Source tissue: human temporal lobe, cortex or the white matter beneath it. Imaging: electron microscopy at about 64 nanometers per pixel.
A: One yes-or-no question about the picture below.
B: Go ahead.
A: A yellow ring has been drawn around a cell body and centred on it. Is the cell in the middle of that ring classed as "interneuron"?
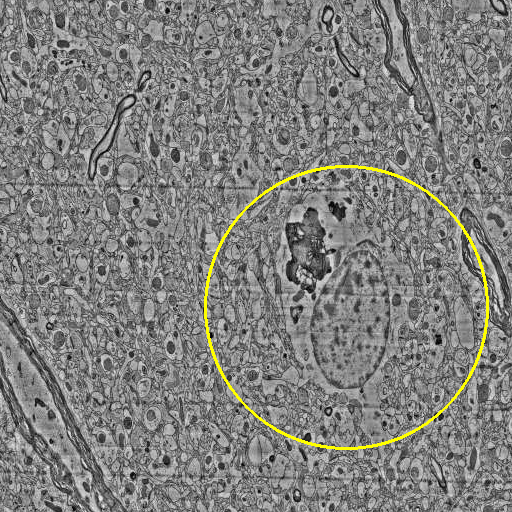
No, it is classed as another kind.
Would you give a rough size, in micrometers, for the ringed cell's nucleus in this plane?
About 9 by 5 micrometres; in this plane the nucleus is clearly longer than it is wide.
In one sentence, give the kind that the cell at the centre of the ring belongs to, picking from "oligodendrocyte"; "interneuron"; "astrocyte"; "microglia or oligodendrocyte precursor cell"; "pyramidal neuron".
It is an astrocyte that the ring is centred on.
